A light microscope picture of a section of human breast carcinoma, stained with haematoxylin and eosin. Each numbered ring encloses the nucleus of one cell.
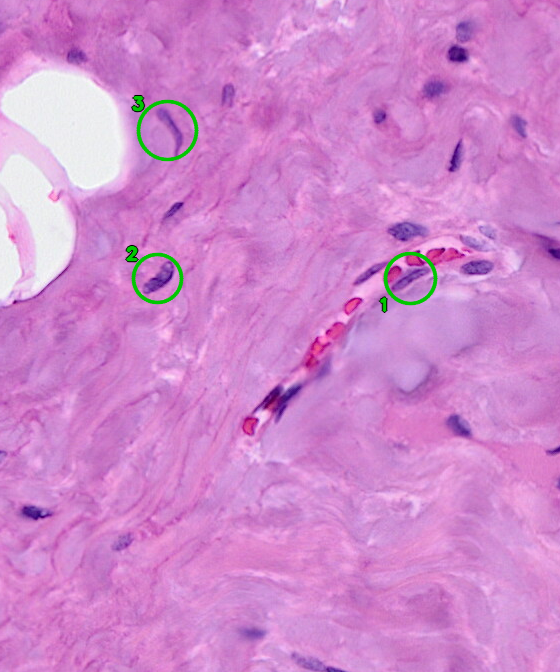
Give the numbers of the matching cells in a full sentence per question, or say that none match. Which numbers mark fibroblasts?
The cells the numbers 2 and 3 point to are fibroblasts.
